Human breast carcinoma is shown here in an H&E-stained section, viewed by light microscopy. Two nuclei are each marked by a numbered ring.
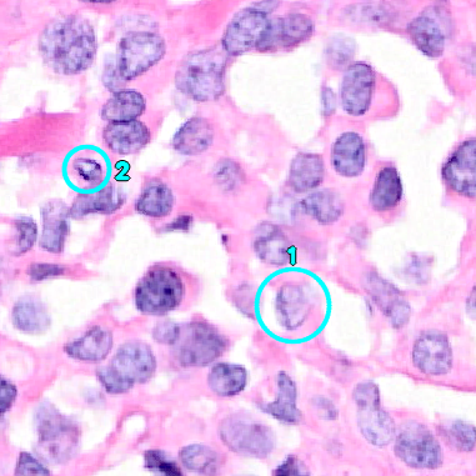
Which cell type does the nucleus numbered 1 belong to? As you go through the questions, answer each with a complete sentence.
The cell pointed out as number 1 is a carcinoma cell.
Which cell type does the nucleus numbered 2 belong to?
The cell identified by the number 2 is an endothelial cell.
